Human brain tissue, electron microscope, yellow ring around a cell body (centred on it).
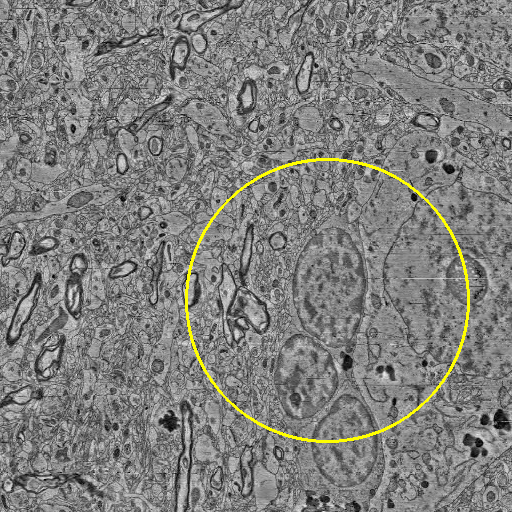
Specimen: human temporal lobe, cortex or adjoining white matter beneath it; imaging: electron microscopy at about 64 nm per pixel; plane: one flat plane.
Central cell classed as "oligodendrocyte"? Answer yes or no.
yes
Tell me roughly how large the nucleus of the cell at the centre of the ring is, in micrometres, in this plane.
In this plane, approximately 7 by 5 micrometers, and clearly longer than it is wide.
